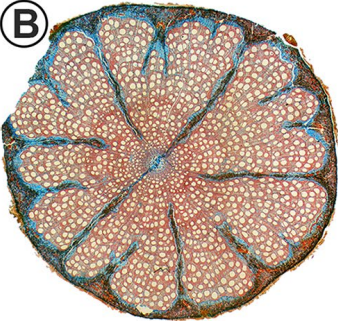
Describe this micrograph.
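Stem in cross-section with a small central pith and a broad cylinder of secondary xylem full of wide vessels. Narrow blue-stained phloem wedges run from the periphery deep toward the centre, dividing the xylem into several rounded lobes.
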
